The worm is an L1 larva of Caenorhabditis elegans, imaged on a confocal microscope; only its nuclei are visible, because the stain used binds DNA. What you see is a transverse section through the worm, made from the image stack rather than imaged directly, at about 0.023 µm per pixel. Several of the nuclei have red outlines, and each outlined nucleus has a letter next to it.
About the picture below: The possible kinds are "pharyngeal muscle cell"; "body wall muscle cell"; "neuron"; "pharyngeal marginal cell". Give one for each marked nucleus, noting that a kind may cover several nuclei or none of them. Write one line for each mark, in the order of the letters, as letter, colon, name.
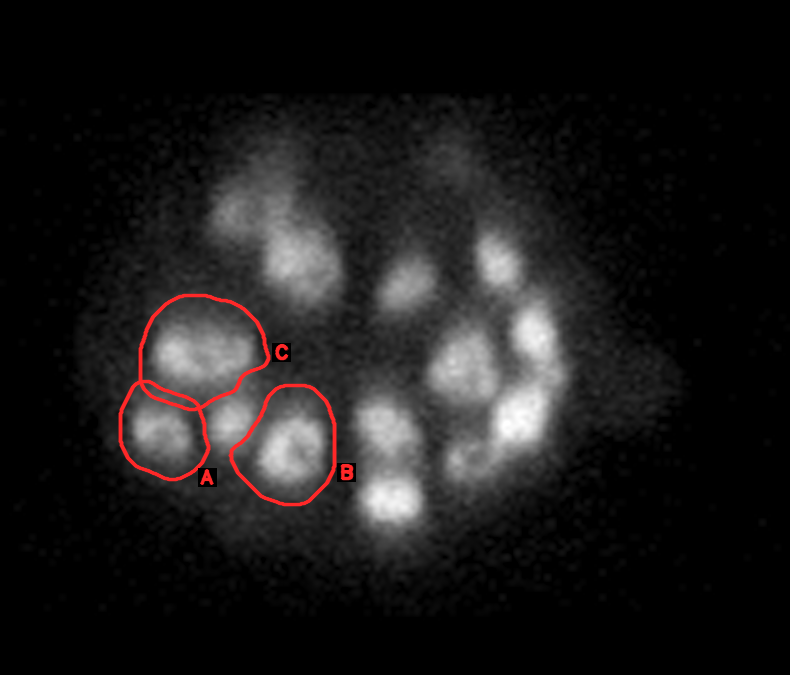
A: body wall muscle cell
B: pharyngeal marginal cell
C: pharyngeal muscle cell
